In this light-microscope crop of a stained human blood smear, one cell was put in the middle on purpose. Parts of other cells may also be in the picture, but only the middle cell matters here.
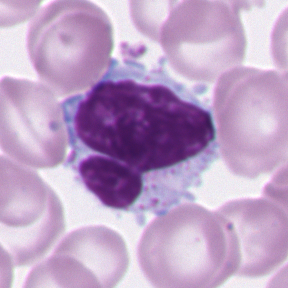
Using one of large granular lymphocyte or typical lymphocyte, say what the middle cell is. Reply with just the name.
large granular lymphocyte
